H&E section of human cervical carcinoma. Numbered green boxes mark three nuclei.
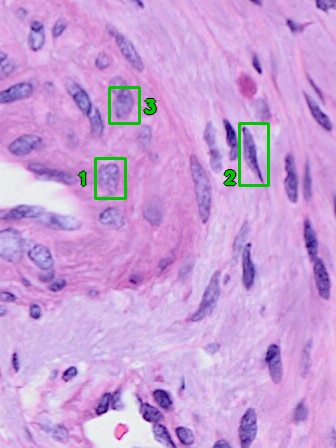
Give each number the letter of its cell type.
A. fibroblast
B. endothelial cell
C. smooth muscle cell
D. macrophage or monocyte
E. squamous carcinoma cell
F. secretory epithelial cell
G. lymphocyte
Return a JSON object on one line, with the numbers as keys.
{"1": "C", "2": "A", "3": "C"}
